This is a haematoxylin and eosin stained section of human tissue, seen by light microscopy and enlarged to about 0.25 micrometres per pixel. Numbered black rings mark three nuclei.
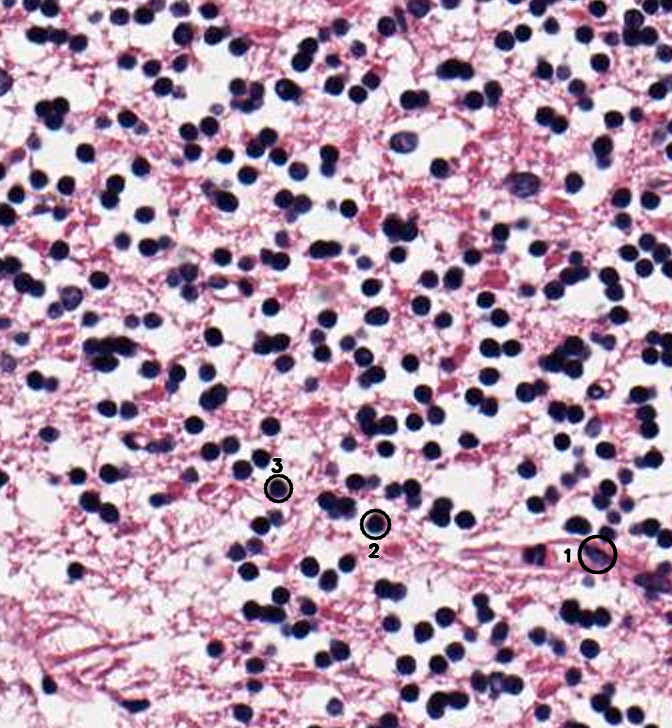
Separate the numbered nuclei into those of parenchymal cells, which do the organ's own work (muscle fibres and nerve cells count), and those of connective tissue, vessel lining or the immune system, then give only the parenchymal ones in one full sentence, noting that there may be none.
Housed in parenchymal cells are nuclei 2 and 3.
